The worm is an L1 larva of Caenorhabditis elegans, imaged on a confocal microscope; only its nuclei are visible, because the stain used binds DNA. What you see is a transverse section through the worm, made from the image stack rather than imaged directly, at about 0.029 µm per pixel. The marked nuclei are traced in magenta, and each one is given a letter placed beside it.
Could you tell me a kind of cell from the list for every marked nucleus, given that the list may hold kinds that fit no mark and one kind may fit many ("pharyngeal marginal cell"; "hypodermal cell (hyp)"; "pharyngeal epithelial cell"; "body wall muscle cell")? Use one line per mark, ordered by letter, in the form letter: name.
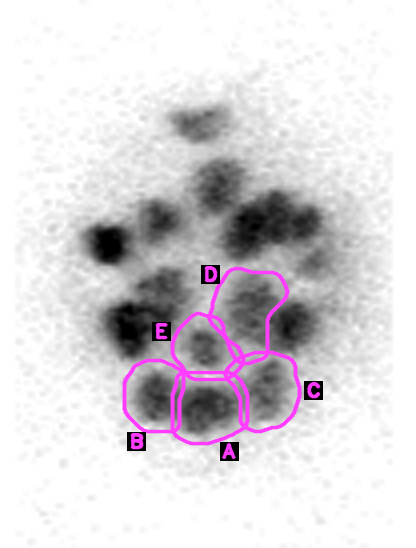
A: hypodermal cell (hyp)
B: body wall muscle cell
C: body wall muscle cell
D: pharyngeal marginal cell
E: pharyngeal epithelial cell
